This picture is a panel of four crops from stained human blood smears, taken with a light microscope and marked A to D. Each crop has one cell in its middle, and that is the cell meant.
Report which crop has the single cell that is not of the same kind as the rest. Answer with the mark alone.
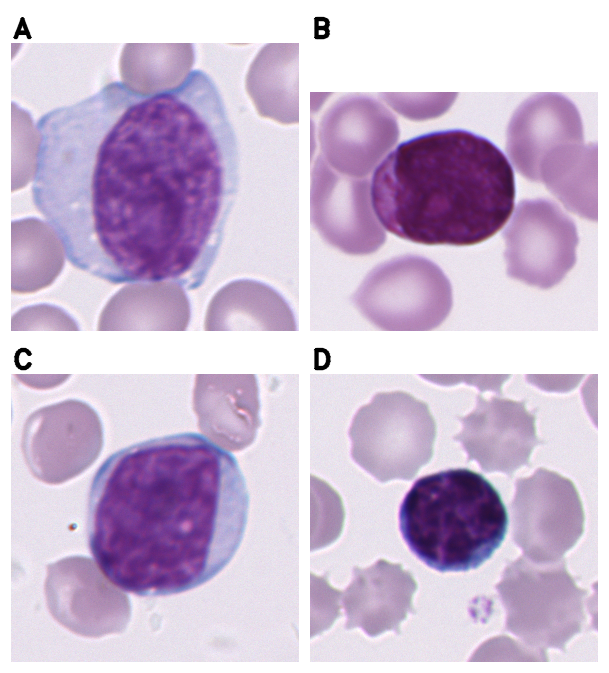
D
